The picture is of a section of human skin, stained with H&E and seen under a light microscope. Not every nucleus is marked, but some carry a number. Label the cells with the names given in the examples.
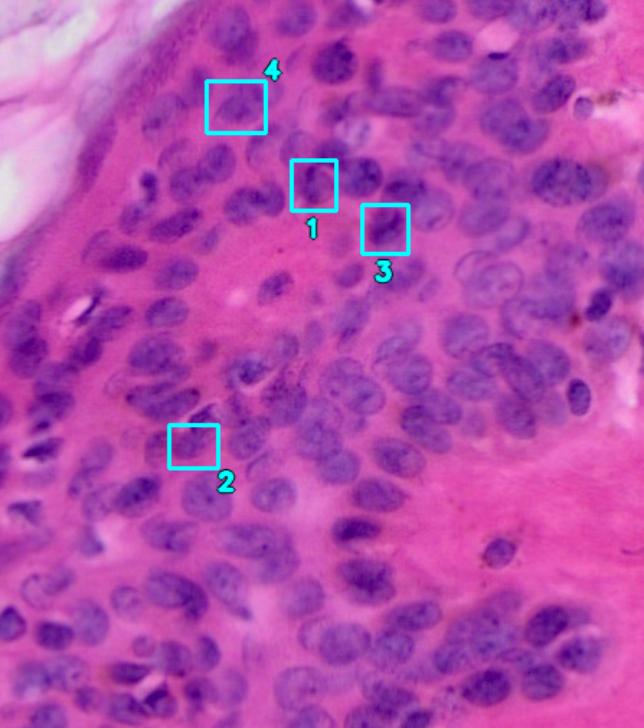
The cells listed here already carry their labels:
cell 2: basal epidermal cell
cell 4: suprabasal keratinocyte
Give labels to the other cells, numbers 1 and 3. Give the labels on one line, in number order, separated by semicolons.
basal epidermal cell; basal epidermal cell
